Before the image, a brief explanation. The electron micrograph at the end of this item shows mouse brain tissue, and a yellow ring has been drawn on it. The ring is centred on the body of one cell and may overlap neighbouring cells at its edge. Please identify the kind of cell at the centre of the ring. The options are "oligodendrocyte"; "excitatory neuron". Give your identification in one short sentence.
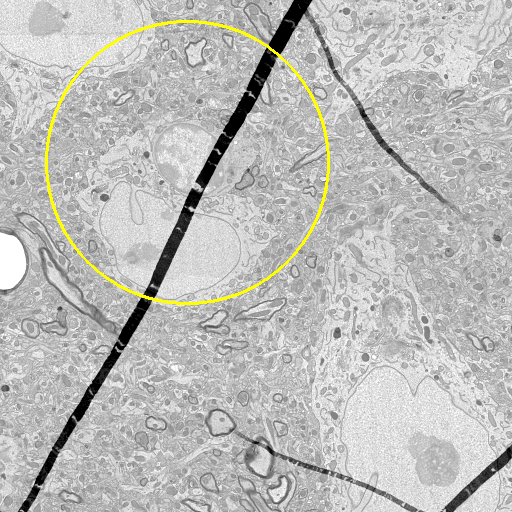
The ring has been placed around an oligodendrocyte.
